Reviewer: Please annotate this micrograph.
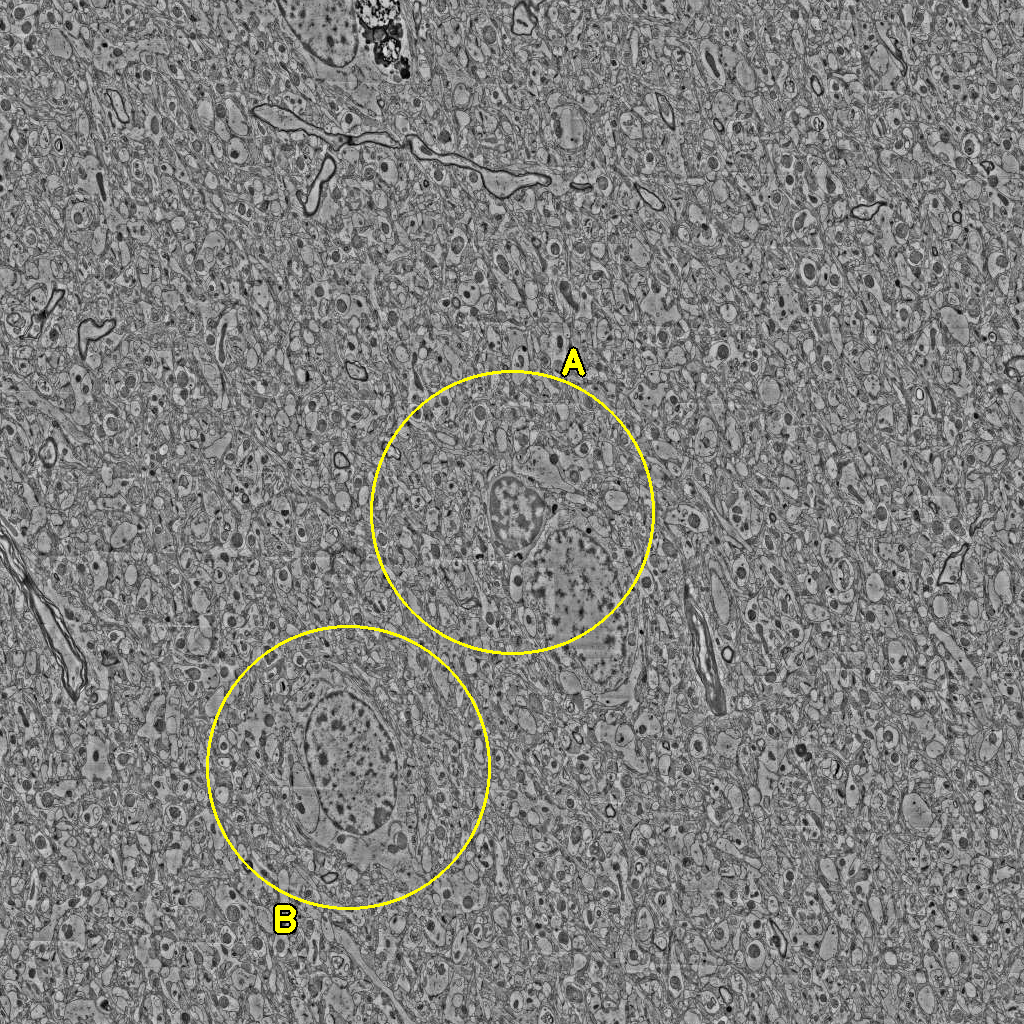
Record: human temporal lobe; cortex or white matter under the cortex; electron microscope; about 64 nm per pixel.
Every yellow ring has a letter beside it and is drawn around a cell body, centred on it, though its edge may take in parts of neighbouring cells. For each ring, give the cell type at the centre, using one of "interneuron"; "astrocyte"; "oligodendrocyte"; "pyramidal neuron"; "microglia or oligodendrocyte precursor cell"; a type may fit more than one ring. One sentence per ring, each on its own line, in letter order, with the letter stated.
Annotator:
The cell in the middle of ring A is an oligodendrocyte.
The cell in the middle of ring B is an astrocyte.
